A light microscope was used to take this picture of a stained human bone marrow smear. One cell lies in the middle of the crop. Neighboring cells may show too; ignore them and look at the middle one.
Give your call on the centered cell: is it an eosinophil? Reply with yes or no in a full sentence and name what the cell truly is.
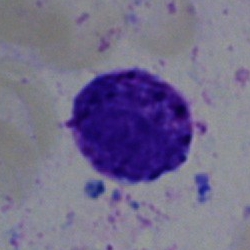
No, the label for the central cell is a basophil, not an eosinophil.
